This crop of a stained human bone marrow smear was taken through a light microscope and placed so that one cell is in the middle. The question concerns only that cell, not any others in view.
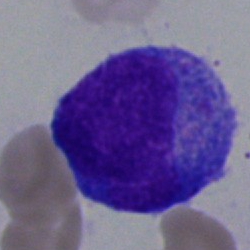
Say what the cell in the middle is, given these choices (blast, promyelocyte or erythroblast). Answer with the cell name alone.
promyelocyte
